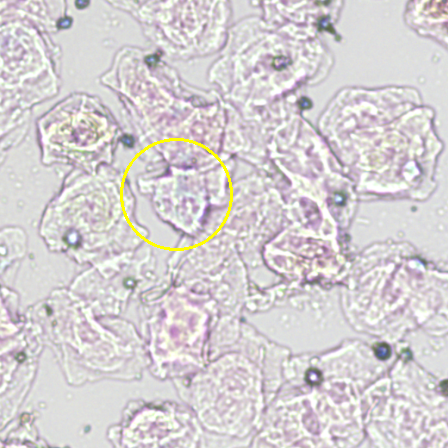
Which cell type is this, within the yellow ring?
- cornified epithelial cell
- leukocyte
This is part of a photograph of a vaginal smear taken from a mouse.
Within the ring is a cornified epithelial cell.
